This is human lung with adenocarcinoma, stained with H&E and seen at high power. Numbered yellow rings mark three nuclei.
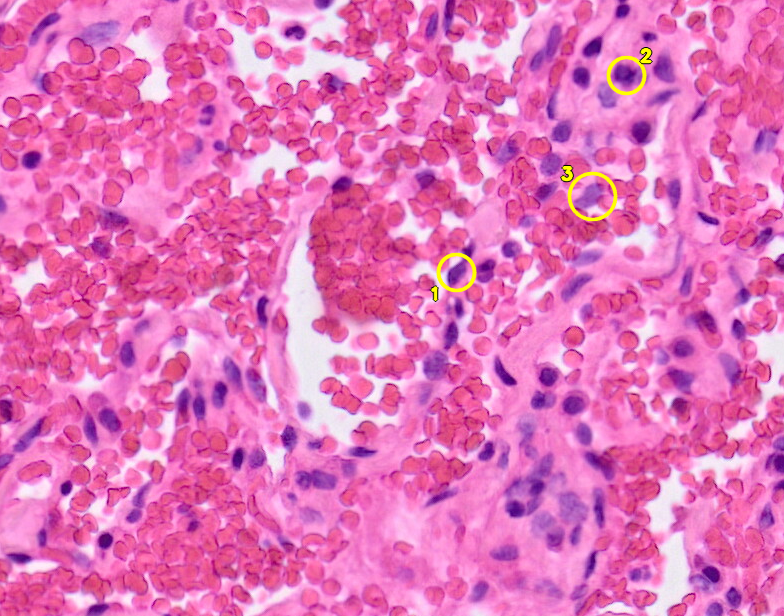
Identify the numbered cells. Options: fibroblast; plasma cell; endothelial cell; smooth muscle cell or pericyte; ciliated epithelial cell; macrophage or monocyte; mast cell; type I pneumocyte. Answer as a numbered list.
1. type I pneumocyte
2. plasma cell
3. type I pneumocyte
